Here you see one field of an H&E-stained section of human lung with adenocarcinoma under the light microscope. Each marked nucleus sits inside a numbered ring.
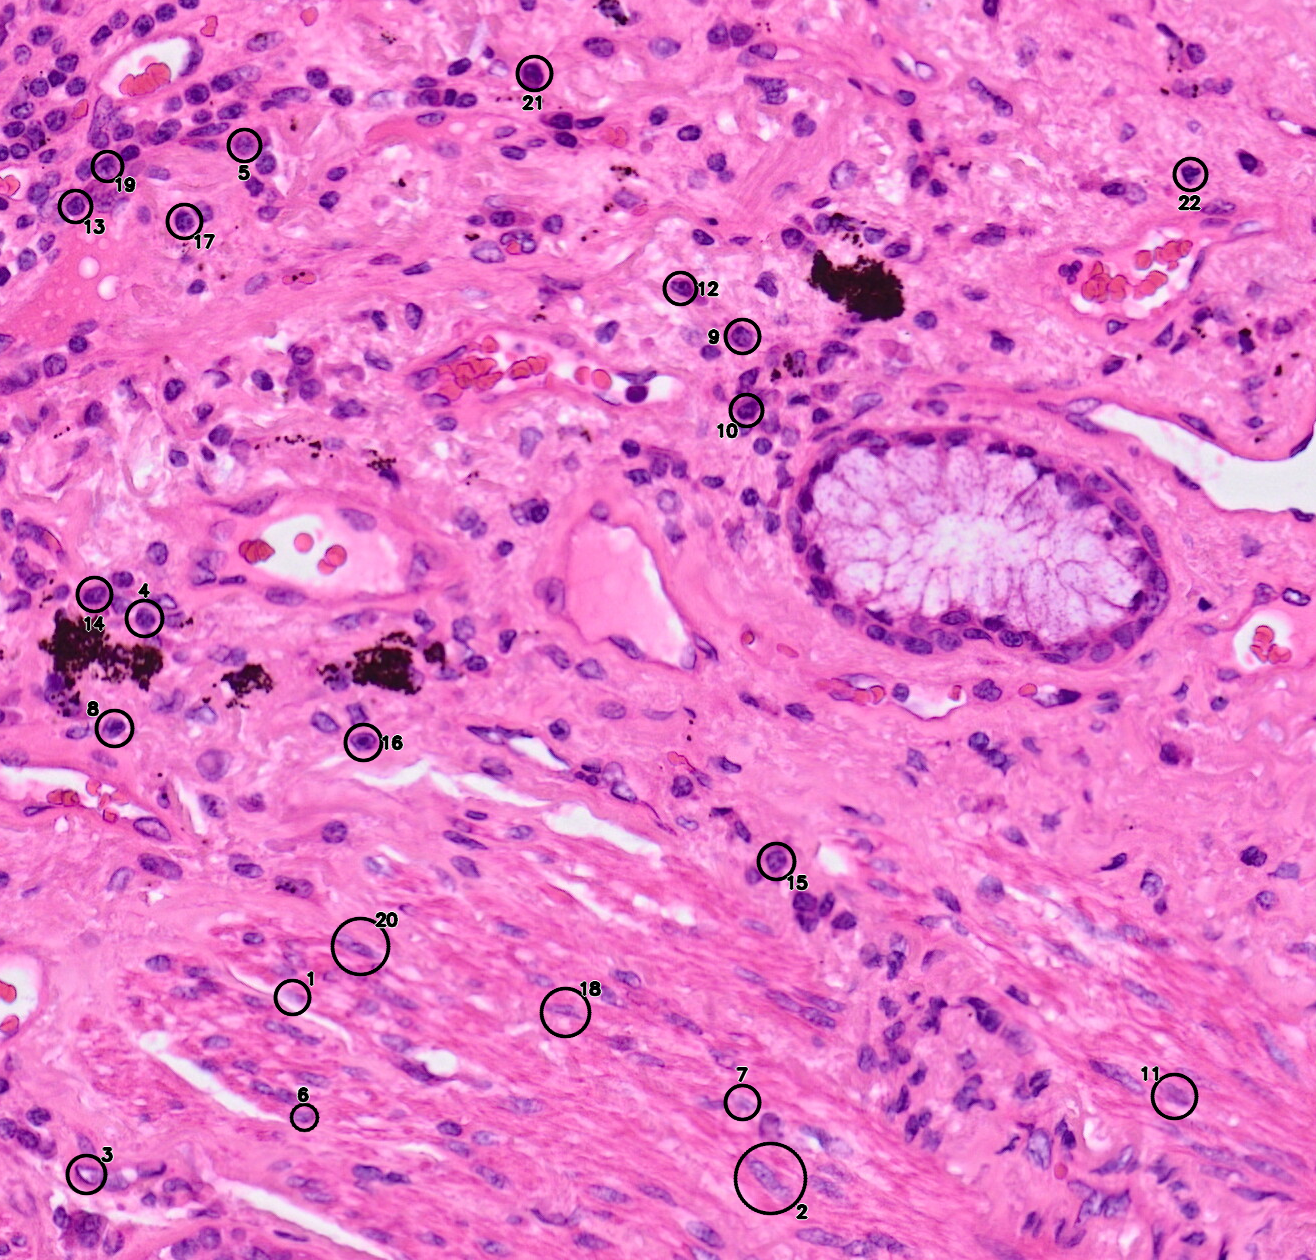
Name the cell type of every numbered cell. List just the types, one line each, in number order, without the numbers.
smooth muscle cell or pericyte
smooth muscle cell or pericyte
endothelial cell
lymphocyte
plasma cell
smooth muscle cell or pericyte
smooth muscle cell or pericyte
lymphocyte
plasma cell
plasma cell
smooth muscle cell or pericyte
plasma cell
lymphocyte
plasma cell
plasma cell
lymphocyte
lymphocyte
smooth muscle cell or pericyte
lymphocyte
smooth muscle cell or pericyte
plasma cell
lymphocyte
